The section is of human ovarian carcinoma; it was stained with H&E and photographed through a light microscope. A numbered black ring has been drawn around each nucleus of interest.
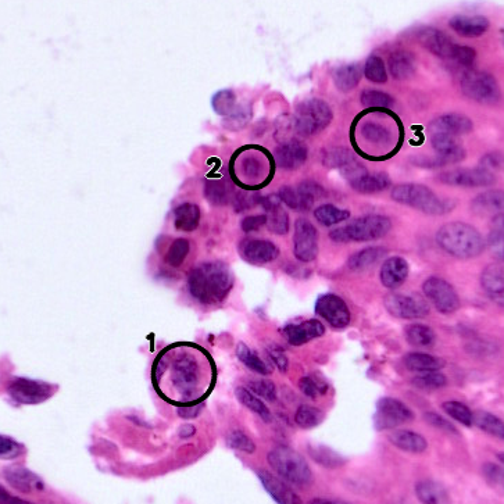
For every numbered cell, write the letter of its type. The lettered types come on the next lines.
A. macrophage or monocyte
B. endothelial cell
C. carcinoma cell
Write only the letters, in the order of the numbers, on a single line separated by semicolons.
A; C; C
